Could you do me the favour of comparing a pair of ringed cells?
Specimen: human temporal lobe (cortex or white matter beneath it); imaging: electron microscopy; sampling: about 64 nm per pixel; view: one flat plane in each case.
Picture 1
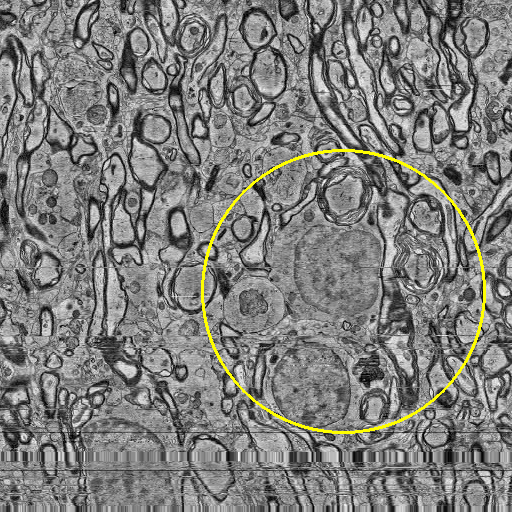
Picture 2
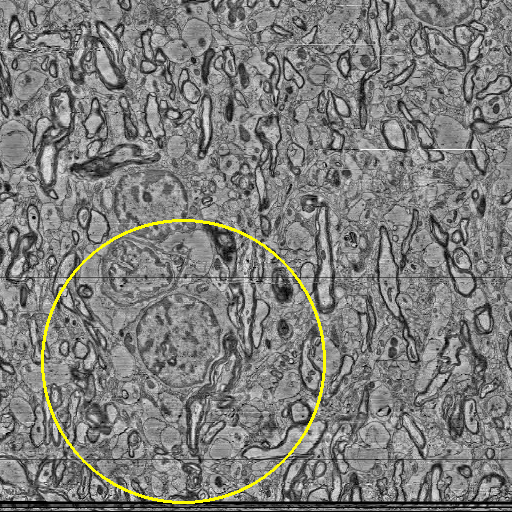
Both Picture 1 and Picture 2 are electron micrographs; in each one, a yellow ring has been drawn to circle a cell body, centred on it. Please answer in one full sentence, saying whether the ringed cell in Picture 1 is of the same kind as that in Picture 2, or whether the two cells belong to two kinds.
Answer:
The ringed cell in Picture 1 is of the same kind as that in Picture 2.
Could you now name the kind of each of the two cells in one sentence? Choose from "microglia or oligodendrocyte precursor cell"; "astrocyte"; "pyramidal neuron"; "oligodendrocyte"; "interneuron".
The ring centre holds an oligodendrocyte in each of the two pictures.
